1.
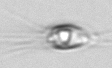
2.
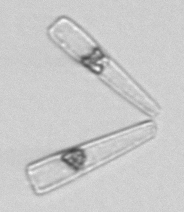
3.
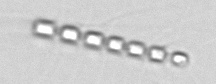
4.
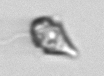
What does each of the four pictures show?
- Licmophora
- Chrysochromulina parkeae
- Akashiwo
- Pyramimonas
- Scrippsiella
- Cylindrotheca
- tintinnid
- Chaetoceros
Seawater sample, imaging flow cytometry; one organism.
Picture 1: Chrysochromulina parkeae
Picture 2: Licmophora
Picture 3: Chaetoceros
Picture 4: Scrippsiella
